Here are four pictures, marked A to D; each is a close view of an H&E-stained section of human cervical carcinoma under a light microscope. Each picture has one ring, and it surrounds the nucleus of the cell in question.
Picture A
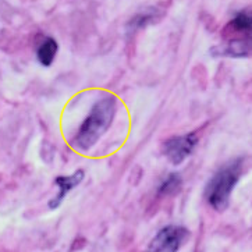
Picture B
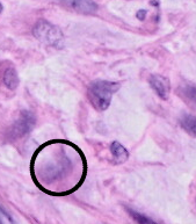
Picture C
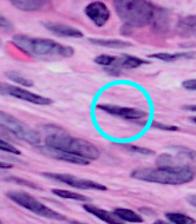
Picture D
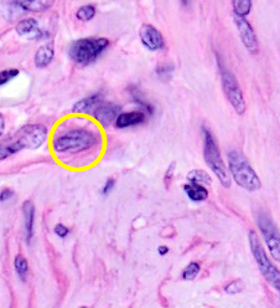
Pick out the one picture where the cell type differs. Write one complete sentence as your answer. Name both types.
The others show fibroblasts, but picture D shows an endothelial cell.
